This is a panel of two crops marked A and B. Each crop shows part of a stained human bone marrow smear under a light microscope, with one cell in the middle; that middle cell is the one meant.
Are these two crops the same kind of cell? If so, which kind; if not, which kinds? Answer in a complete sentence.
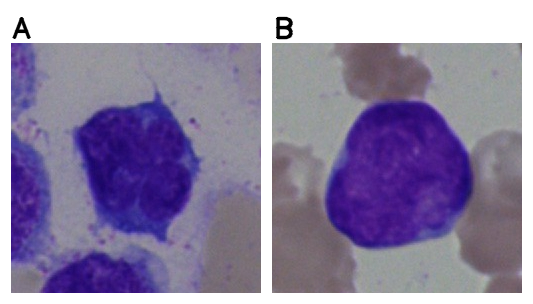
Yes, for both crops, the central cells are blasts.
